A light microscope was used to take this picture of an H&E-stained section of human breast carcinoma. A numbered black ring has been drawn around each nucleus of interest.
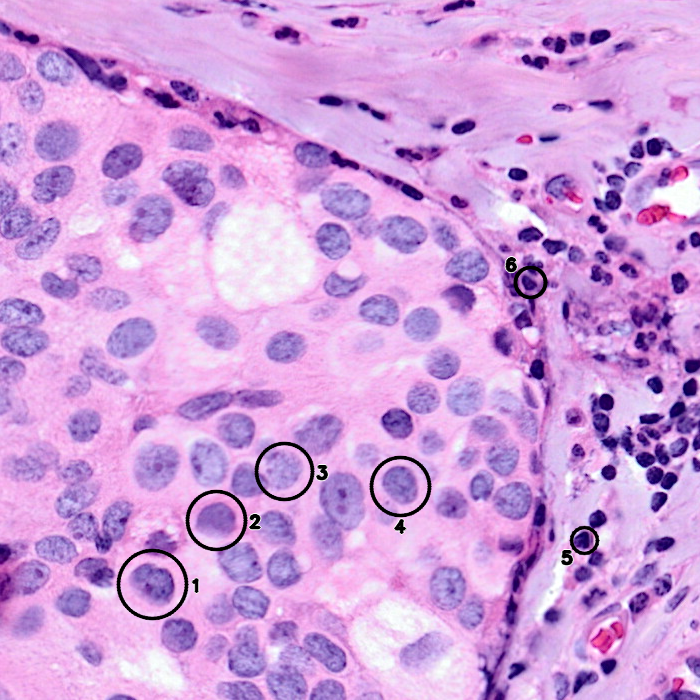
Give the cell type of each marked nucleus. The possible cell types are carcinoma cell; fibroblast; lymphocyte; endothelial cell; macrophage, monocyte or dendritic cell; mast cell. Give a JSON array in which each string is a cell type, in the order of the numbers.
["carcinoma cell", "carcinoma cell", "carcinoma cell", "carcinoma cell", "lymphocyte", "lymphocyte"]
